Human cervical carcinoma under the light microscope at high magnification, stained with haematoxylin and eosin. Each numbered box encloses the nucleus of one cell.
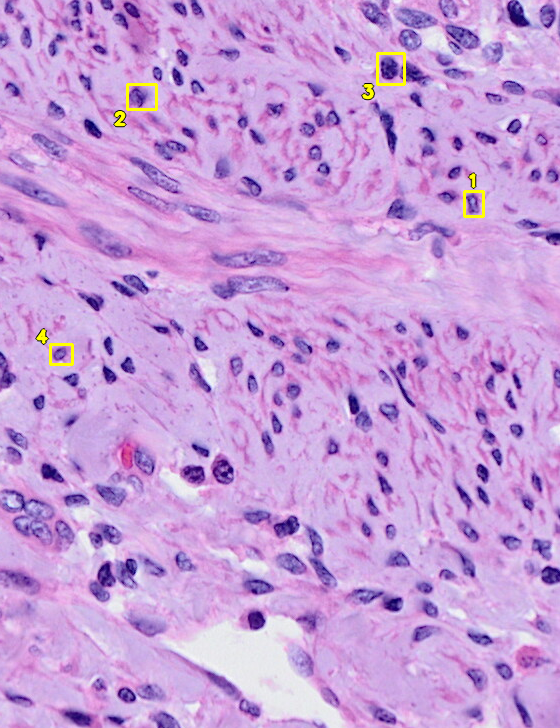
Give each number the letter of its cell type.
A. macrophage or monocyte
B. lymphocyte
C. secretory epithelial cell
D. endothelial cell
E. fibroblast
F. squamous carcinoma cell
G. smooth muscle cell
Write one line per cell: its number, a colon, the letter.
1: G
2: G
3: B
4: G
